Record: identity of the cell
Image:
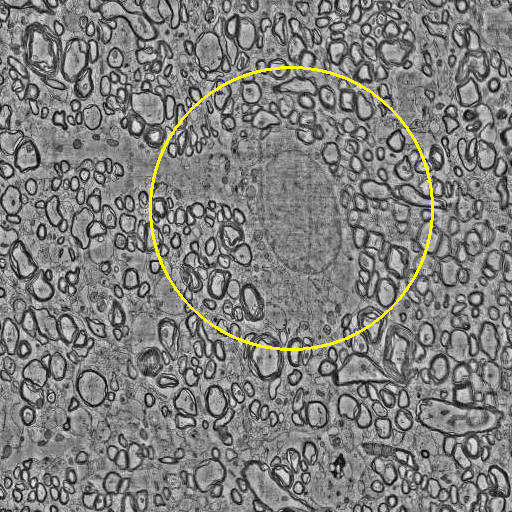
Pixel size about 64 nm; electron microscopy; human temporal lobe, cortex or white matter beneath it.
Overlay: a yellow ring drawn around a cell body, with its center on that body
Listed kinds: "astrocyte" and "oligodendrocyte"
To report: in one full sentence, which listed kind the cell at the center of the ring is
In the image, the cell body at the ring's center belongs to an astrocyte.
